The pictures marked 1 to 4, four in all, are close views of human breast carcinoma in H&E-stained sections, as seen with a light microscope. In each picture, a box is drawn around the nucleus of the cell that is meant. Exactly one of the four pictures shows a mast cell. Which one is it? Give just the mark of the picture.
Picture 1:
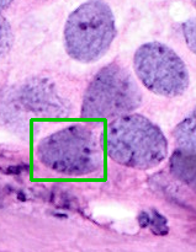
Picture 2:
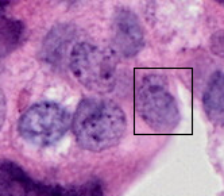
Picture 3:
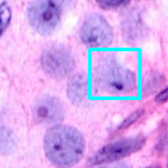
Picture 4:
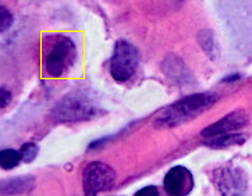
4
